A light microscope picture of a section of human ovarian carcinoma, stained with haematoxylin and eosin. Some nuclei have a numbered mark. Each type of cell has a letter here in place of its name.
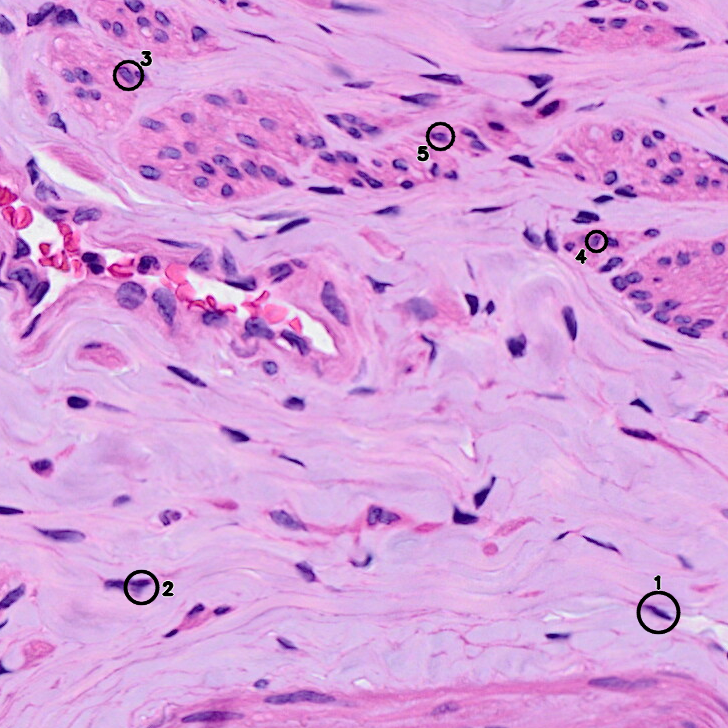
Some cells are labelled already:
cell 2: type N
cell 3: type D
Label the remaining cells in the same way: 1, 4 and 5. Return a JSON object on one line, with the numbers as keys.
{"1": "type N", "4": "type D", "5": "type D"}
